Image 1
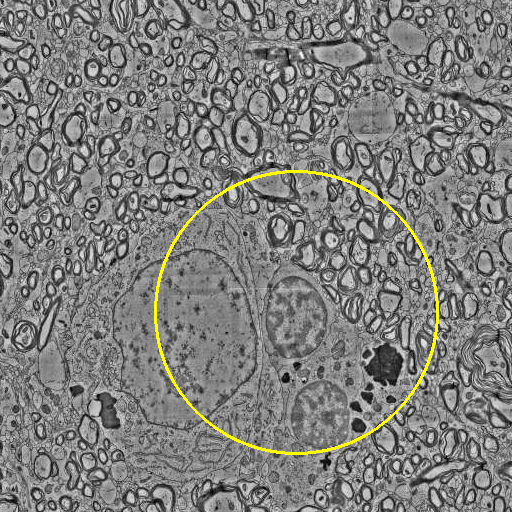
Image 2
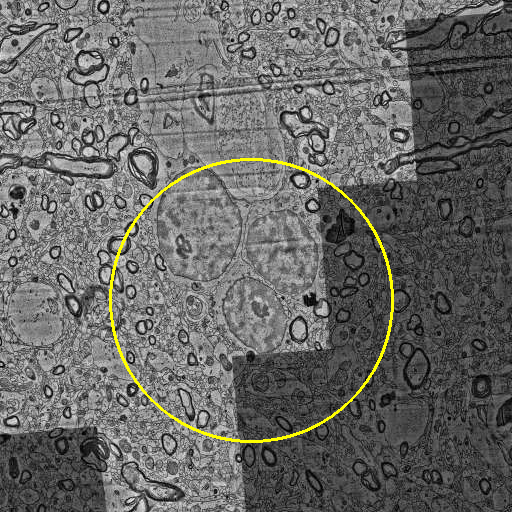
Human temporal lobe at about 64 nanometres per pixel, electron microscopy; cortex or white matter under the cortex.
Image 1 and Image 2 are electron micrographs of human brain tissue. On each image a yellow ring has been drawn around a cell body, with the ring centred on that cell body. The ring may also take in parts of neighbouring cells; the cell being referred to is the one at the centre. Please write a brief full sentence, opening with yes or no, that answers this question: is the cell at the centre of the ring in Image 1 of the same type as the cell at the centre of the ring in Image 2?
Yes, both cells are of the same type.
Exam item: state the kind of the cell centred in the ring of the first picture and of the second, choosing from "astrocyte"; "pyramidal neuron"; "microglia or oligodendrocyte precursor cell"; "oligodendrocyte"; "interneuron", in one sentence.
The cell at the ring centre is an oligodendrocyte in both pictures.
